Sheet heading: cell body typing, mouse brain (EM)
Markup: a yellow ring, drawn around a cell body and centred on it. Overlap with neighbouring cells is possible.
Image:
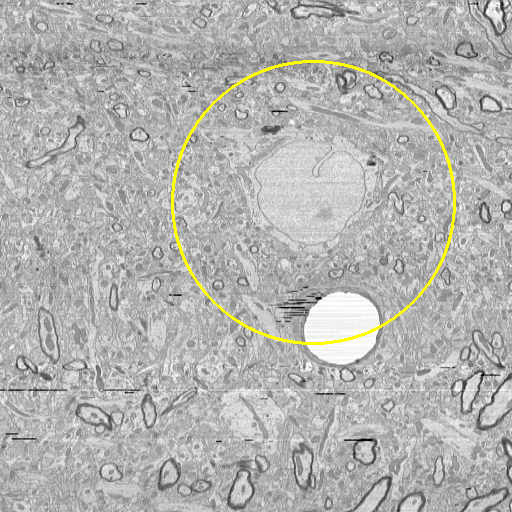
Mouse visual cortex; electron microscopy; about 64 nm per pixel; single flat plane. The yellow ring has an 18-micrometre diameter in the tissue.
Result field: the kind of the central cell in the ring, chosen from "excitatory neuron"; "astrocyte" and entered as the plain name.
excitatory neuron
